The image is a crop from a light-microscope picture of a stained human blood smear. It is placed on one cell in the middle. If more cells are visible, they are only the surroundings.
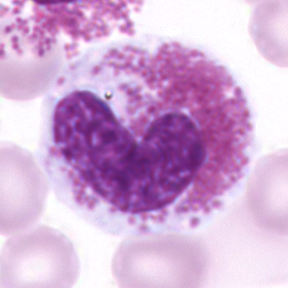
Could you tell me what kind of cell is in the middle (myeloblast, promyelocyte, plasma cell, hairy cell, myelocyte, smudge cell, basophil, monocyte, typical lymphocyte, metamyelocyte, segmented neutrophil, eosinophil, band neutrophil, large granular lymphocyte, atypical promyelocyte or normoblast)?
eosinophil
